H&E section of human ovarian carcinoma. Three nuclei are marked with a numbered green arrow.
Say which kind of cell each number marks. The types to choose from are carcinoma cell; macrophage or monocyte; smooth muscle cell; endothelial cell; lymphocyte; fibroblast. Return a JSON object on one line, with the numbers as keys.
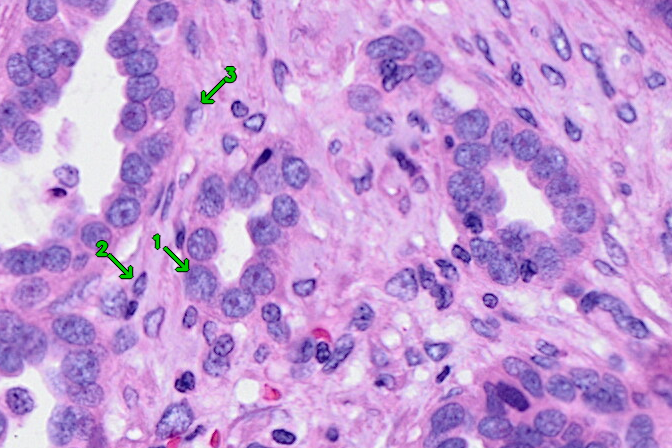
{"1": "carcinoma cell", "2": "fibroblast", "3": "fibroblast"}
